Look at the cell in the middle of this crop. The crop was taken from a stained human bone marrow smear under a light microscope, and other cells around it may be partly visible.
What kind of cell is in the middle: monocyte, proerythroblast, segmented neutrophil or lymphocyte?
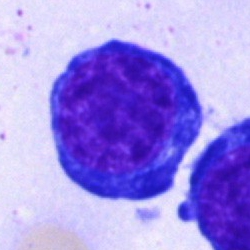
proerythroblast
